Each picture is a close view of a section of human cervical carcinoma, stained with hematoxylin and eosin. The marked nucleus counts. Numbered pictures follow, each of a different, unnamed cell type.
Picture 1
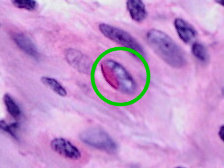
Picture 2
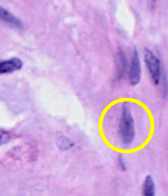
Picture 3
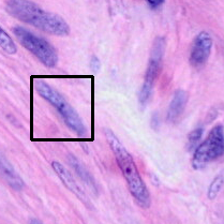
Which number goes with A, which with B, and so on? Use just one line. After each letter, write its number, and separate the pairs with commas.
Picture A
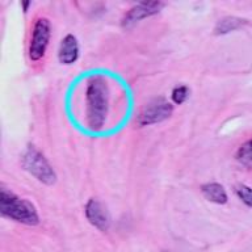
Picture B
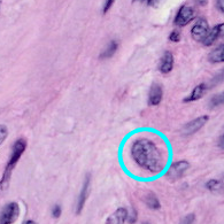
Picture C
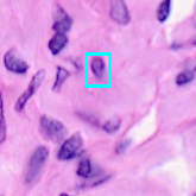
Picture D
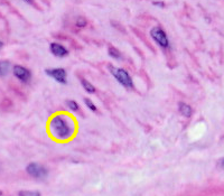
A 2, B 3, C 2, D 3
